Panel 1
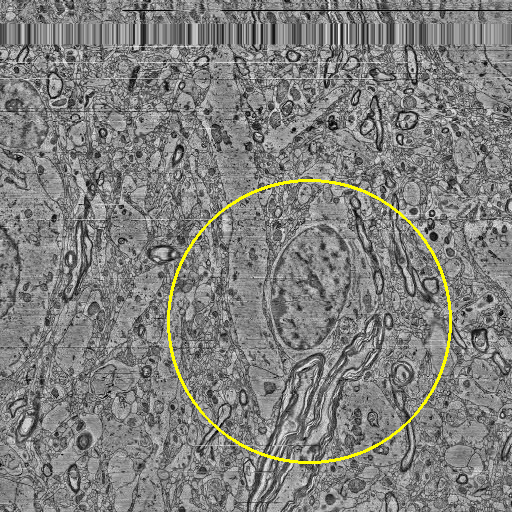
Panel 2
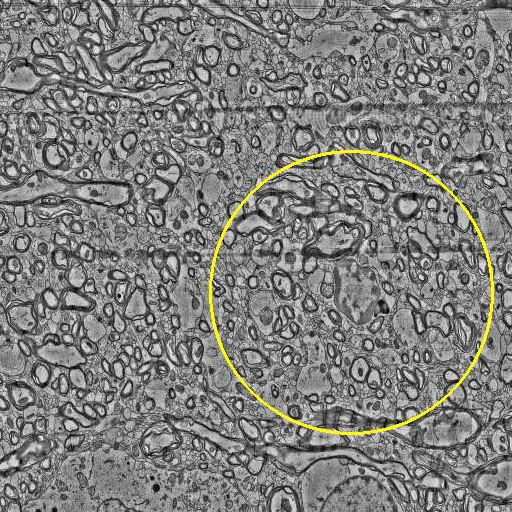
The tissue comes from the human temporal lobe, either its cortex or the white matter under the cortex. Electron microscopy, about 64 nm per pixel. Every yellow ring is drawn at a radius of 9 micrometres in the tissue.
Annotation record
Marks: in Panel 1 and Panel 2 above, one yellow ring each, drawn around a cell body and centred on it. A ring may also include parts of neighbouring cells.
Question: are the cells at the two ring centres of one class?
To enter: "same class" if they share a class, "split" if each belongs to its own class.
same class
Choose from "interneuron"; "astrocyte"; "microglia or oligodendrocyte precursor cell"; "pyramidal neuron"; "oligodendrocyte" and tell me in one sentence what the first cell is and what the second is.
In the first picture and in the second, the ring is centred on a microglial cell or oligodendrocyte precursor cell.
